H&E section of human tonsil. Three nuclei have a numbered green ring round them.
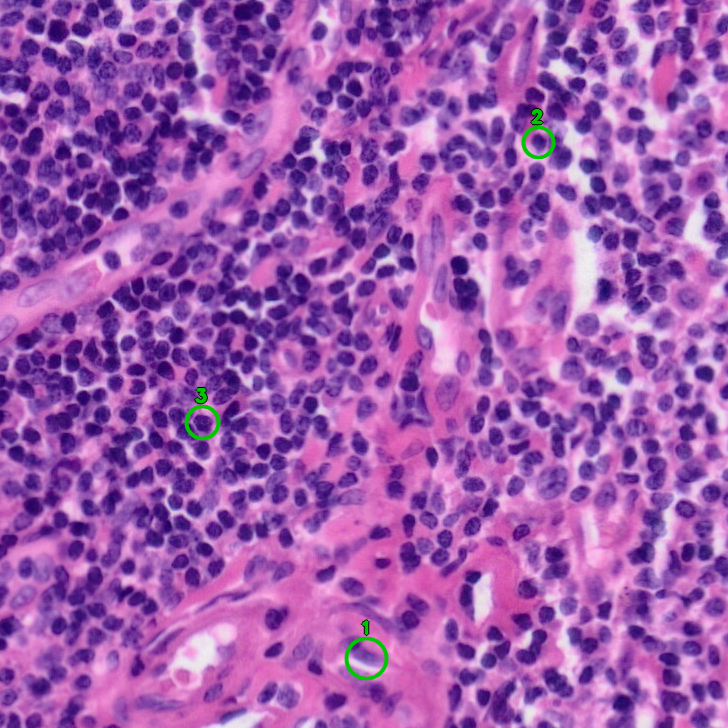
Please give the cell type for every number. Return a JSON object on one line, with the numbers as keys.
{"1": "endothelial cell", "2": "small lymphocyte", "3": "small lymphocyte"}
